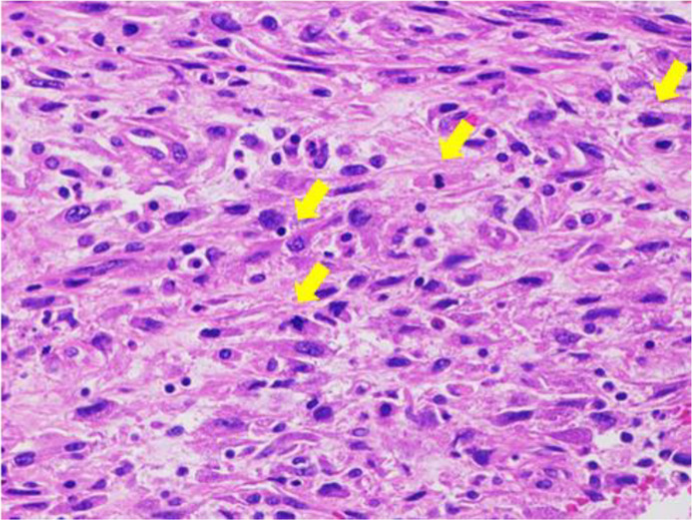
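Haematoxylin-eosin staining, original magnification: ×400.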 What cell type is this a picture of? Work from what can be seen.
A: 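Many cells are elongated with tapering ends. Elongated cells lie in loose streaming fascicles, especially at the top. So: spindle-shaped tumour cells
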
